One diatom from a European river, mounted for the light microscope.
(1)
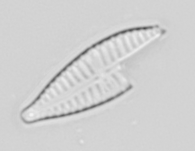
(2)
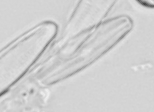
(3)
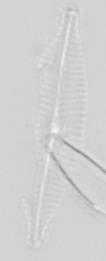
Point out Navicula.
That is picture 3.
